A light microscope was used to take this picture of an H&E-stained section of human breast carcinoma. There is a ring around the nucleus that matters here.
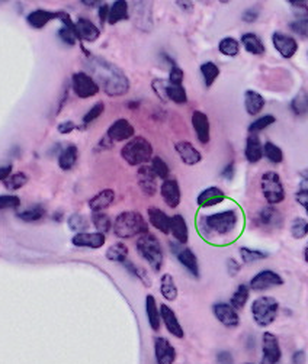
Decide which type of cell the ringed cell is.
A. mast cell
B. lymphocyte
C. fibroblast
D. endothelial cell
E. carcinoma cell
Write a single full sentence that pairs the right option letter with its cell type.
Option B wins here: the ringed cell is a lymphocyte.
